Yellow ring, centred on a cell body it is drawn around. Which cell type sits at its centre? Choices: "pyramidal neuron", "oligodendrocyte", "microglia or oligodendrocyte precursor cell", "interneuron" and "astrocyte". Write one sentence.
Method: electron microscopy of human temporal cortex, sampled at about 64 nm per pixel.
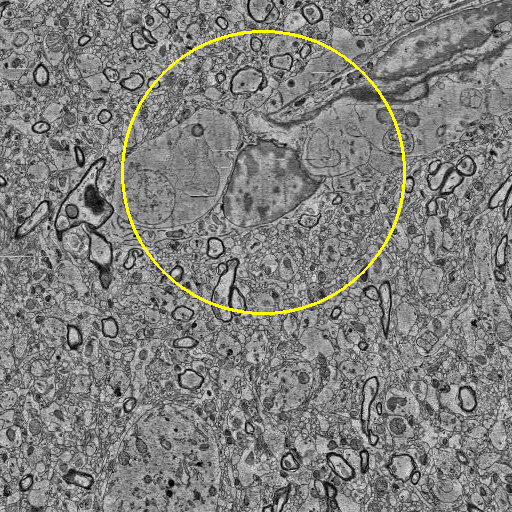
At the centre of the ring sits a microglial cell or oligodendrocyte precursor cell.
